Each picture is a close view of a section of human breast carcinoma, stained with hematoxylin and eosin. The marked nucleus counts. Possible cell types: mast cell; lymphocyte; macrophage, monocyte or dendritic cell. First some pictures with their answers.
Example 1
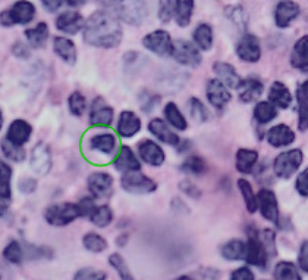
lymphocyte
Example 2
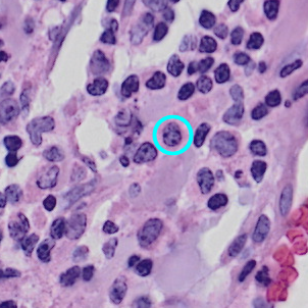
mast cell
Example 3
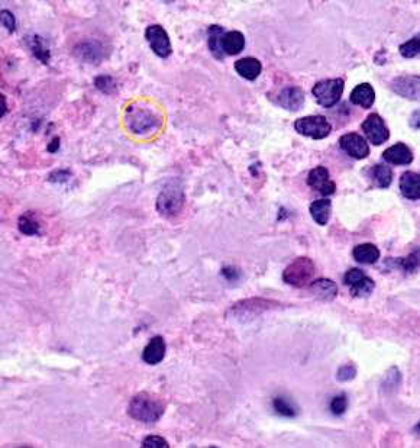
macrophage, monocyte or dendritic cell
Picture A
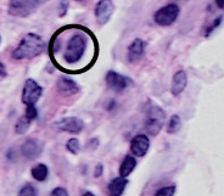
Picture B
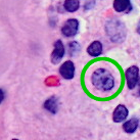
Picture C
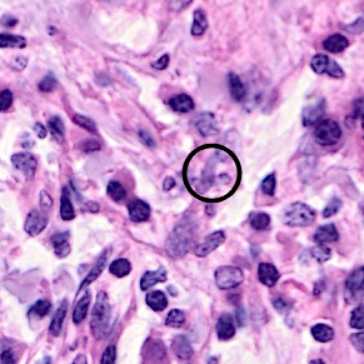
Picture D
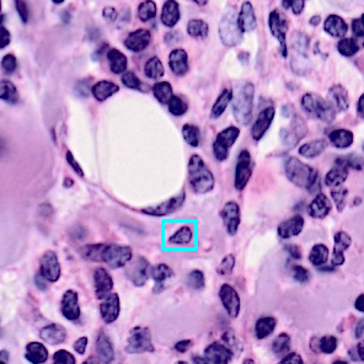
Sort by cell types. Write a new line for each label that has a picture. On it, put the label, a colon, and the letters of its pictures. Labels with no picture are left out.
mast cell: B
lymphocyte: A, D
macrophage, monocyte or dendritic cell: C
